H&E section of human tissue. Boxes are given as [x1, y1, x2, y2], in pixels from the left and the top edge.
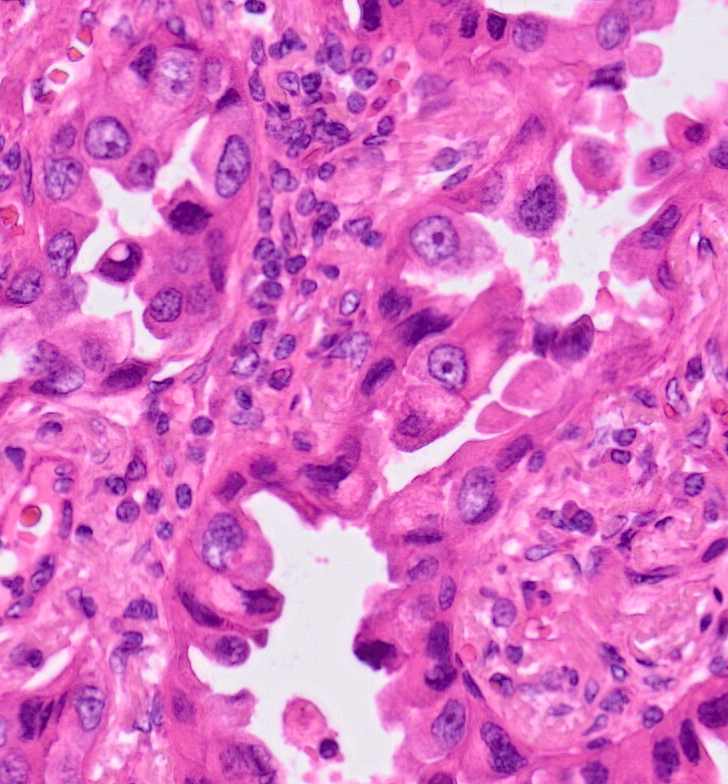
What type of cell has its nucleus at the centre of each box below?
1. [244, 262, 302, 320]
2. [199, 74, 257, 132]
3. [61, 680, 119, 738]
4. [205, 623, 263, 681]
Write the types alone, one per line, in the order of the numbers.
lymphocyte
carcinoma cell
carcinoma cell
carcinoma cell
